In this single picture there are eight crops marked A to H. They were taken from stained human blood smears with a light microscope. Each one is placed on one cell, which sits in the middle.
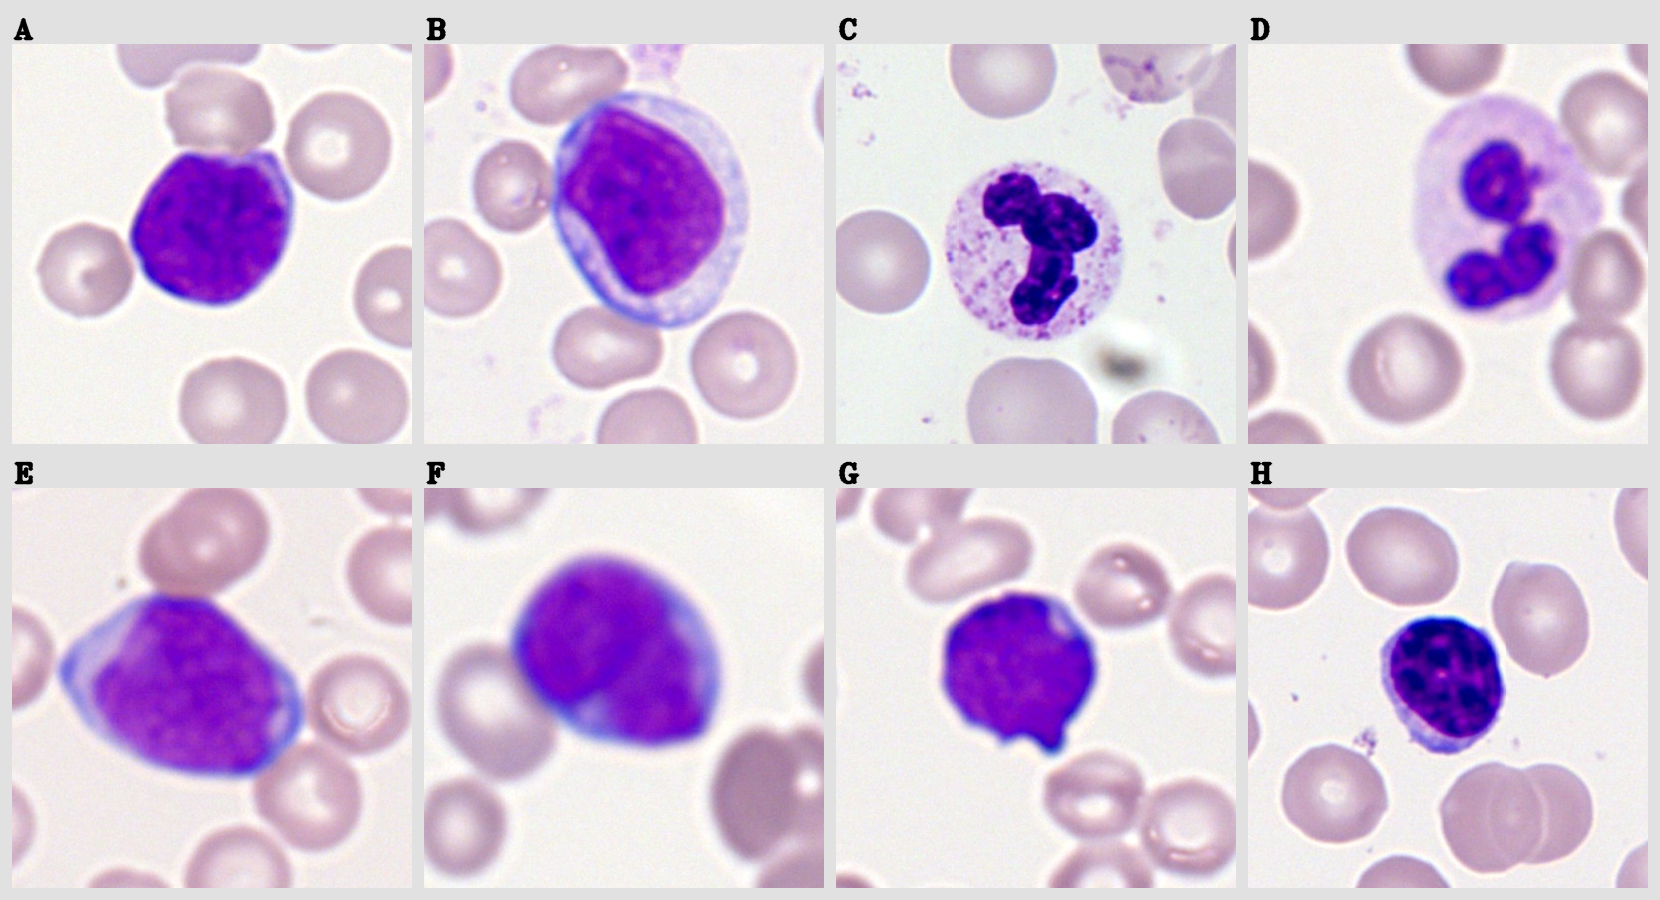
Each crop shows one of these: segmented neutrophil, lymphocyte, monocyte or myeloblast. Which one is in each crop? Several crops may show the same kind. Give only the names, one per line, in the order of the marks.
myeloblast
myeloblast
segmented neutrophil
segmented neutrophil
myeloblast
myeloblast
myeloblast
lymphocyte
